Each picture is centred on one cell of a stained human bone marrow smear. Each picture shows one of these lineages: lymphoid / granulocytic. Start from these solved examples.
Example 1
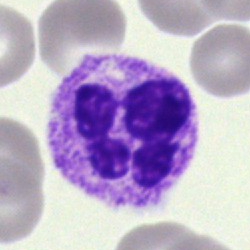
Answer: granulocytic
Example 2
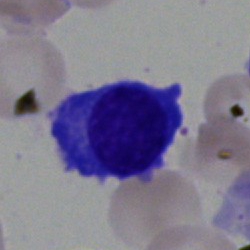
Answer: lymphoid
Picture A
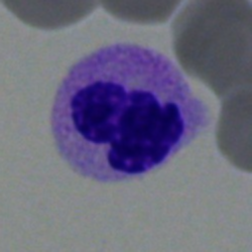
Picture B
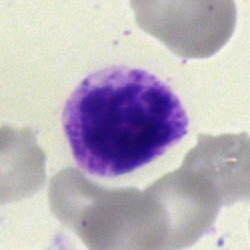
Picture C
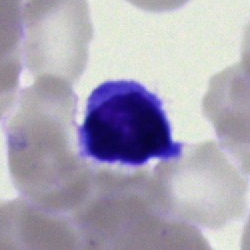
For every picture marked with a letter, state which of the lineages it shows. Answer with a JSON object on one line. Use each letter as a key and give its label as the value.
{"A": "granulocytic", "B": "granulocytic", "C": "lymphoid"}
